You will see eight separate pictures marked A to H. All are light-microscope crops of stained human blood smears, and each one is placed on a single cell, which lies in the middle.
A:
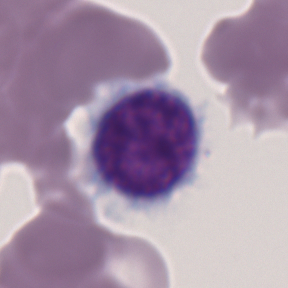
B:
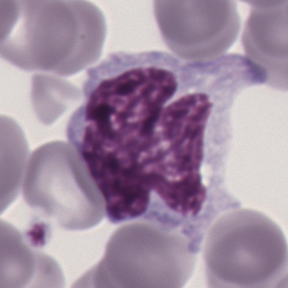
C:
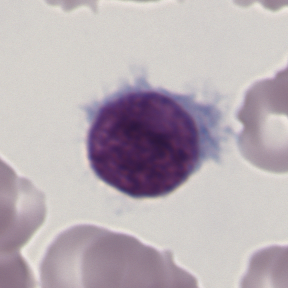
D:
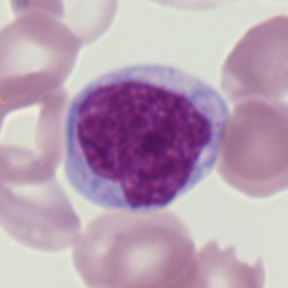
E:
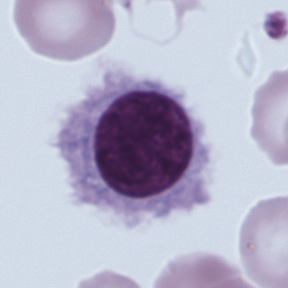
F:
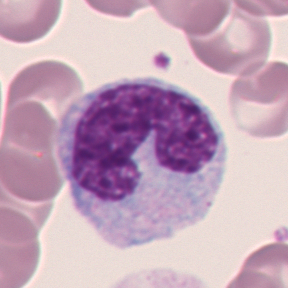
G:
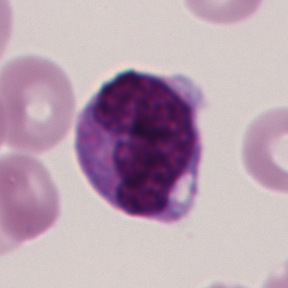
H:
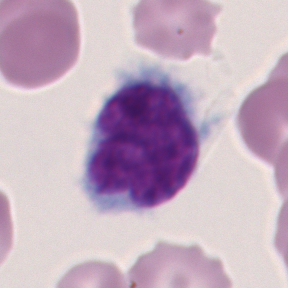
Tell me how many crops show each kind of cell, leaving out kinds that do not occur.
hairy cell: 4
monocyte: 4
